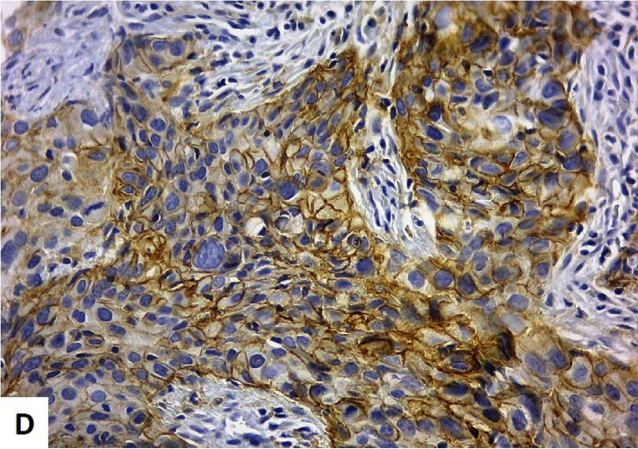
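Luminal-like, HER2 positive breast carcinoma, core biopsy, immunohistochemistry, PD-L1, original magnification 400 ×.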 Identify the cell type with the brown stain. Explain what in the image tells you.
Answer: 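Tumor cells. Brown stain outlines the membranes of large polygonal cells in nests. Stromal spindle cells between the nests are unstained.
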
